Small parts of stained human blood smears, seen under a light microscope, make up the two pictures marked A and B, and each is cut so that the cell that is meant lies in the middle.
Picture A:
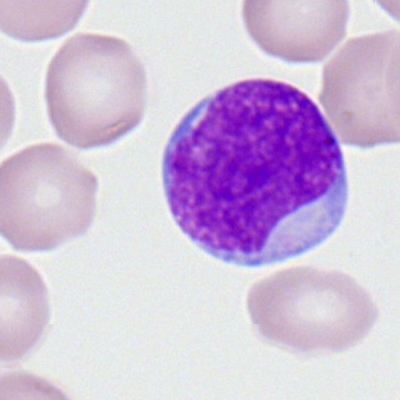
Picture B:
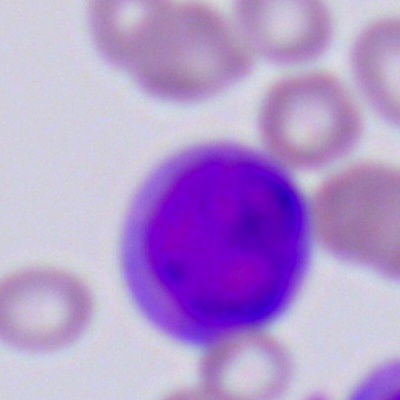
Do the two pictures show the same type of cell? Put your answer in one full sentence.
Yes, both cells are myeloblasts.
